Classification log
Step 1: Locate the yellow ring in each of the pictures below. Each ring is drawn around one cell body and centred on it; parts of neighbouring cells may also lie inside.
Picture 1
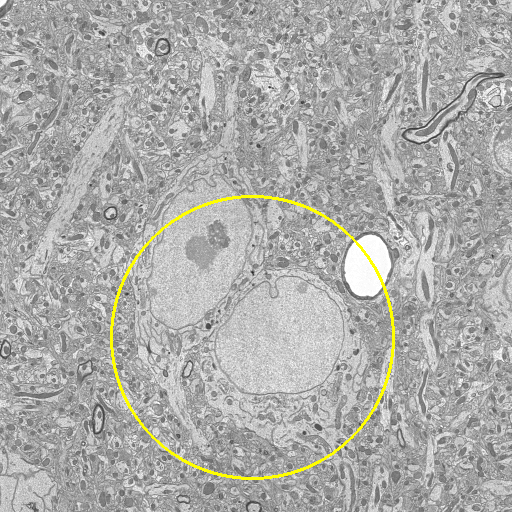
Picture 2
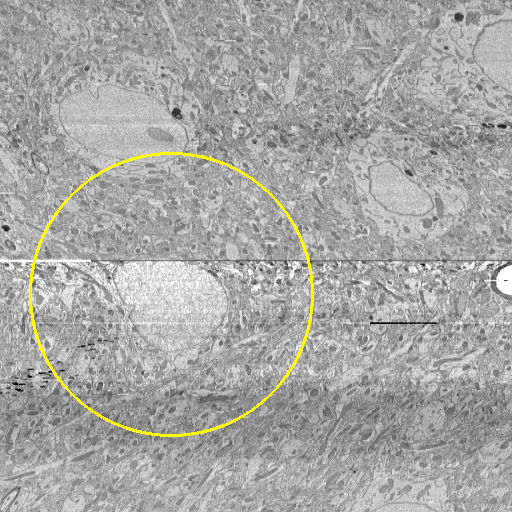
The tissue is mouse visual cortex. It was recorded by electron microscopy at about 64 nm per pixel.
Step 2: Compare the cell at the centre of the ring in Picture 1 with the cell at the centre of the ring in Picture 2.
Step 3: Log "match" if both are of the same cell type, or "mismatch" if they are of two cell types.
mismatch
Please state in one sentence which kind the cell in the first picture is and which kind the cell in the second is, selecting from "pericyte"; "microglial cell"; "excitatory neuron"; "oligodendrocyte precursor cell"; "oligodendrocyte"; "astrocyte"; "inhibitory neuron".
The first ringed cell is an excitatory neuron, the second ringed cell an astrocyte.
